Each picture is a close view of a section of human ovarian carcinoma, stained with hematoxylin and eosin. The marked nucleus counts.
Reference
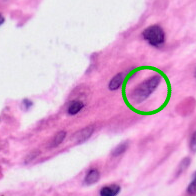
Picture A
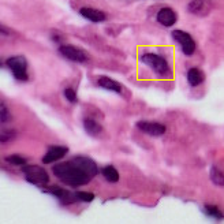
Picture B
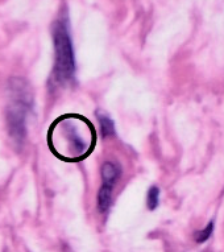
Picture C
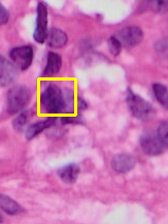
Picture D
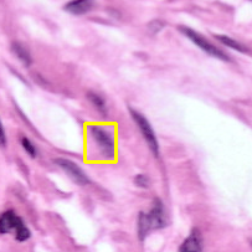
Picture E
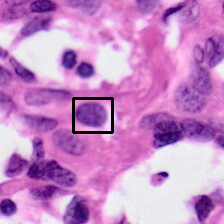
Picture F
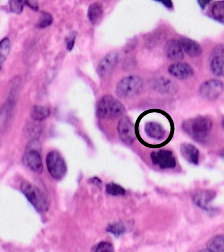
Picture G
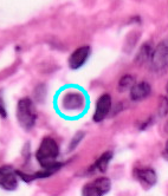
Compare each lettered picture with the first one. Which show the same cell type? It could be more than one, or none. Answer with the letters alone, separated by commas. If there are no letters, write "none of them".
A, B, D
